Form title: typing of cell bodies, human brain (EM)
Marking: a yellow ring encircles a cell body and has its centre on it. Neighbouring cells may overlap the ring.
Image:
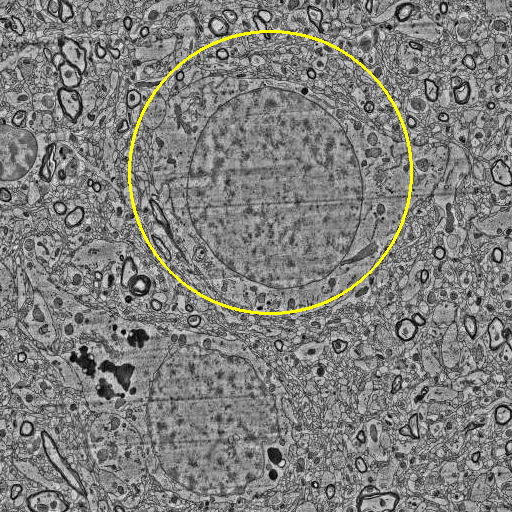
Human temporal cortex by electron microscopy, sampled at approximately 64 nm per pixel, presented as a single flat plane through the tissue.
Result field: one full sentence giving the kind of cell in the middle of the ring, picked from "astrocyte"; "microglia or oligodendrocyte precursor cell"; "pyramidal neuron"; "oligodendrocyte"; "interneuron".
In the picture, the ring is centred on a pyramidal neuron, whose cell body it encircles.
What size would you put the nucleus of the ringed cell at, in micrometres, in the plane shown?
The nucleus of the ringed cell is approximately 13 by 11 micrometres in this plane.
